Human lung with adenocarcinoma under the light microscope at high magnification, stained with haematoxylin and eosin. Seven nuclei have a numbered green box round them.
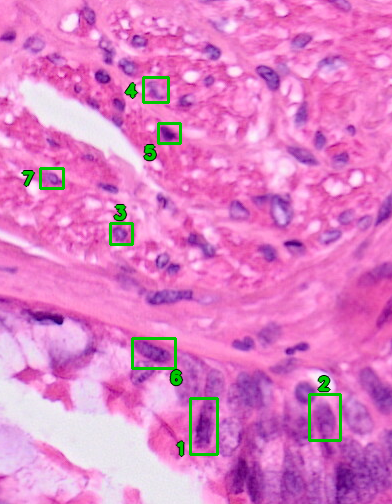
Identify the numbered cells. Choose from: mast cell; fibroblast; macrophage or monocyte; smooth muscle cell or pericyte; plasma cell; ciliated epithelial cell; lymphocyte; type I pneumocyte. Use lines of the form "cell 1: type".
cell 1: ciliated epithelial cell
cell 2: ciliated epithelial cell
cell 3: smooth muscle cell or pericyte
cell 4: smooth muscle cell or pericyte
cell 5: smooth muscle cell or pericyte
cell 6: ciliated epithelial cell
cell 7: smooth muscle cell or pericyte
